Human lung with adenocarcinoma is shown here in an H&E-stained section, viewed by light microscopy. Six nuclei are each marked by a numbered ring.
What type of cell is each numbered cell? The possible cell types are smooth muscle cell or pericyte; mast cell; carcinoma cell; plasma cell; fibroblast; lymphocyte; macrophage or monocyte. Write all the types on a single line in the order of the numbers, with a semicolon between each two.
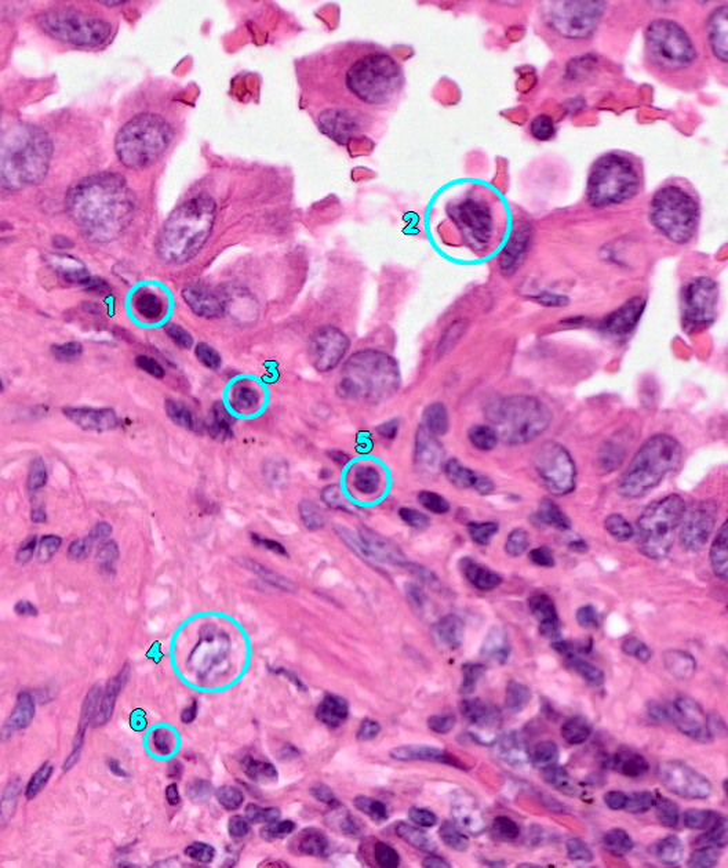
plasma cell; carcinoma cell; lymphocyte; fibroblast; lymphocyte; mast cell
